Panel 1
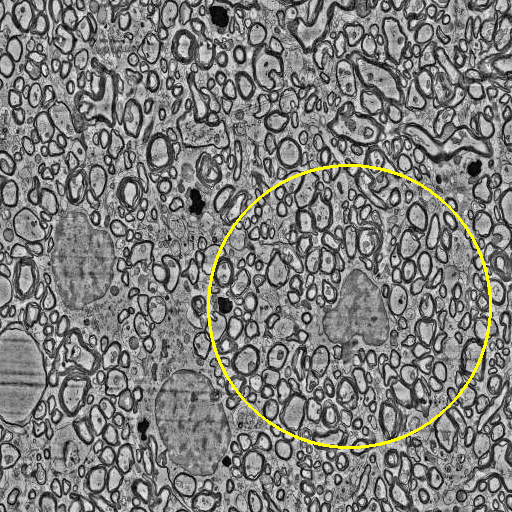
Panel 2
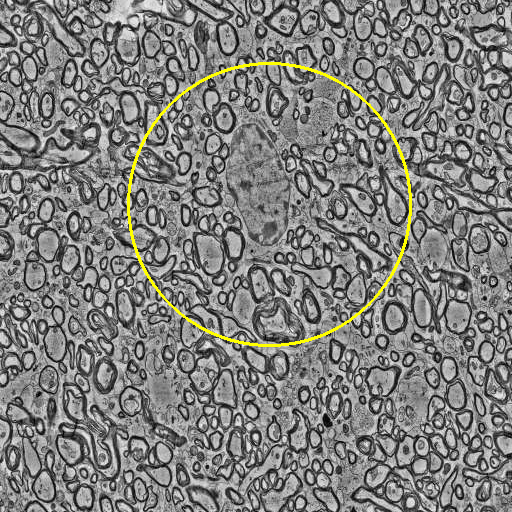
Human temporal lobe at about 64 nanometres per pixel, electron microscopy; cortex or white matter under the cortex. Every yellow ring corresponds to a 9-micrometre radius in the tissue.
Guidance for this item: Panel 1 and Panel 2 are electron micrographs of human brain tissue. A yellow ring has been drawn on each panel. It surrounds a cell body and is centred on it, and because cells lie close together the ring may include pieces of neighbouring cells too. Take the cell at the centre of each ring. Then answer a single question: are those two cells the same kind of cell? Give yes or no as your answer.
no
